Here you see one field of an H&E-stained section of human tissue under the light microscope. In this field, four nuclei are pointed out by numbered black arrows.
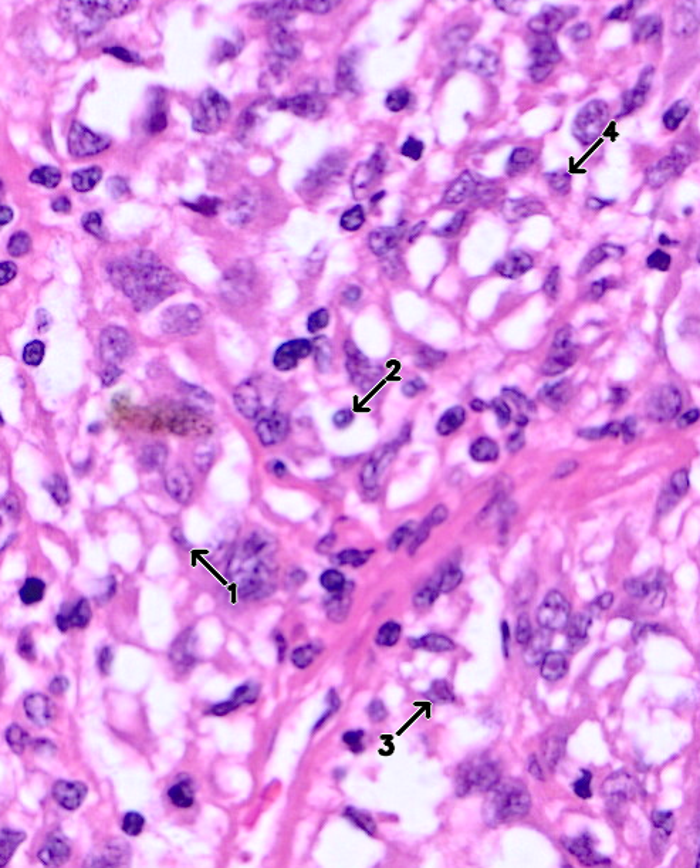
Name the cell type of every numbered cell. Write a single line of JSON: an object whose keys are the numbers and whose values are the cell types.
{"1": "melanoma cell", "2": "lymphocyte", "3": "melanoma cell", "4": "melanoma cell"}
